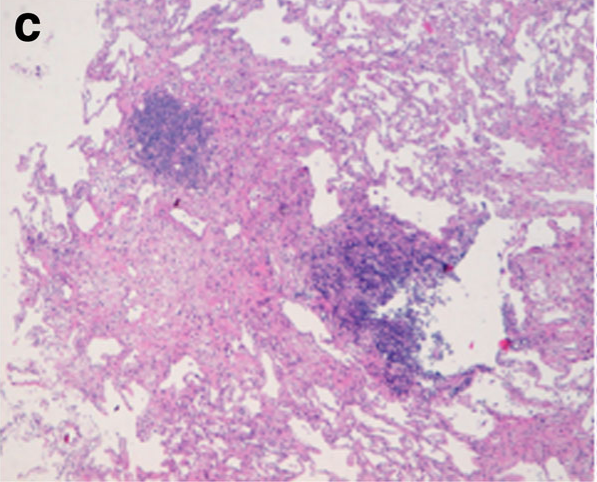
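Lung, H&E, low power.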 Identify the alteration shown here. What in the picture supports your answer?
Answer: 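Two dense, dark purple aggregates of small round cells.
Hence: nodular lymphocytic inflammation.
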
